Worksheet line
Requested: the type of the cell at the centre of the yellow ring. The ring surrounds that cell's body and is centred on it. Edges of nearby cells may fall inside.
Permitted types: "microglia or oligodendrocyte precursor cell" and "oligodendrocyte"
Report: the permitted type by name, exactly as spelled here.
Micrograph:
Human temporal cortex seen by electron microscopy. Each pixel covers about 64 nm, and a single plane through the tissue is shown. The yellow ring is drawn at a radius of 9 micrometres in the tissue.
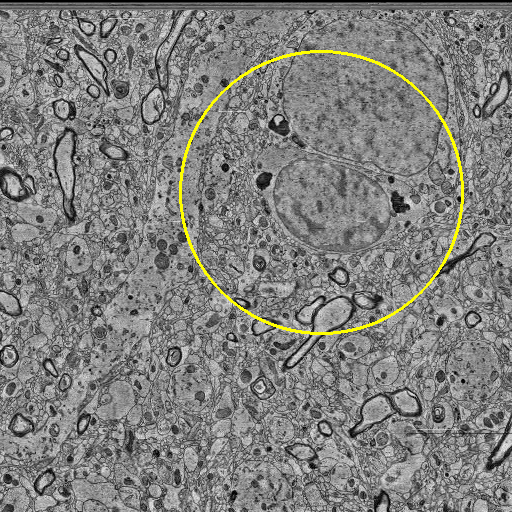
oligodendrocyte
